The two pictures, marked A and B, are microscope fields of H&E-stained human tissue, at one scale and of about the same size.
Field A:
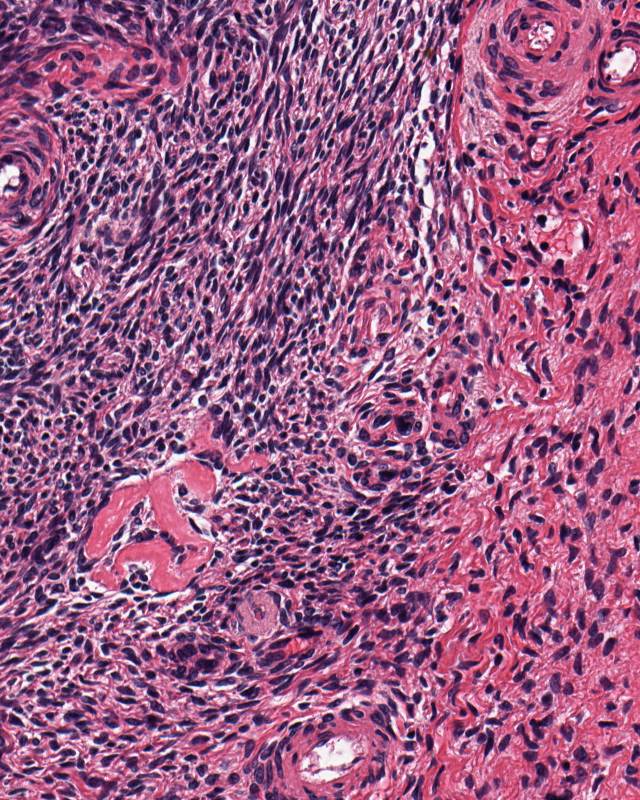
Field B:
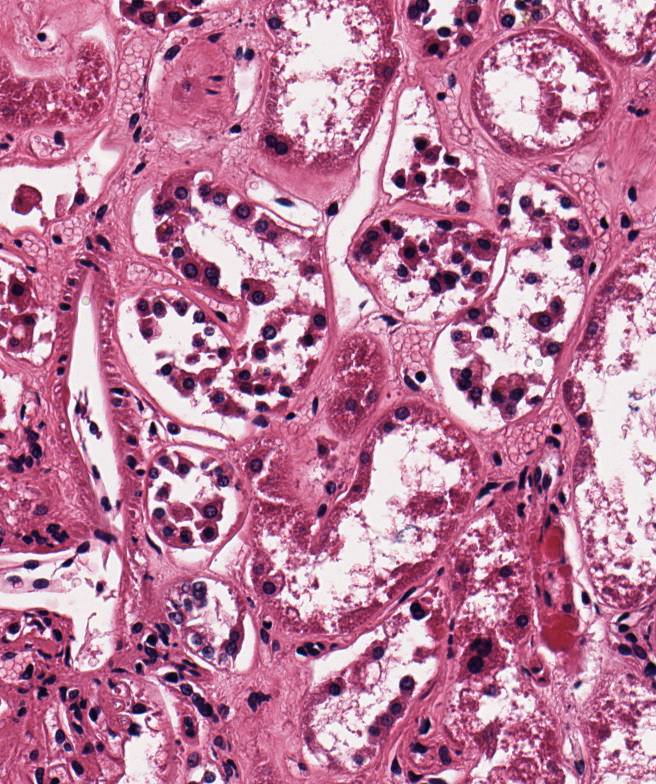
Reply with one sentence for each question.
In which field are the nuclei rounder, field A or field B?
On the whole the nuclei of field B are rounder than those of field A.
